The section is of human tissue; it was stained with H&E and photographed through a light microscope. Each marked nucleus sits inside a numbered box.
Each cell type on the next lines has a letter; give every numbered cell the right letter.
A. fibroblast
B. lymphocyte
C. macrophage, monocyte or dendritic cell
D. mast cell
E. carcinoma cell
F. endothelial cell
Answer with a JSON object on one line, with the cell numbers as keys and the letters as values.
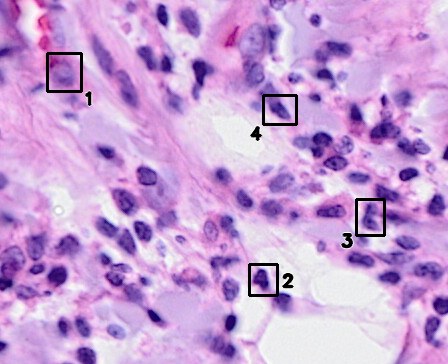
{"1": "F", "2": "B", "3": "B", "4": "B"}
